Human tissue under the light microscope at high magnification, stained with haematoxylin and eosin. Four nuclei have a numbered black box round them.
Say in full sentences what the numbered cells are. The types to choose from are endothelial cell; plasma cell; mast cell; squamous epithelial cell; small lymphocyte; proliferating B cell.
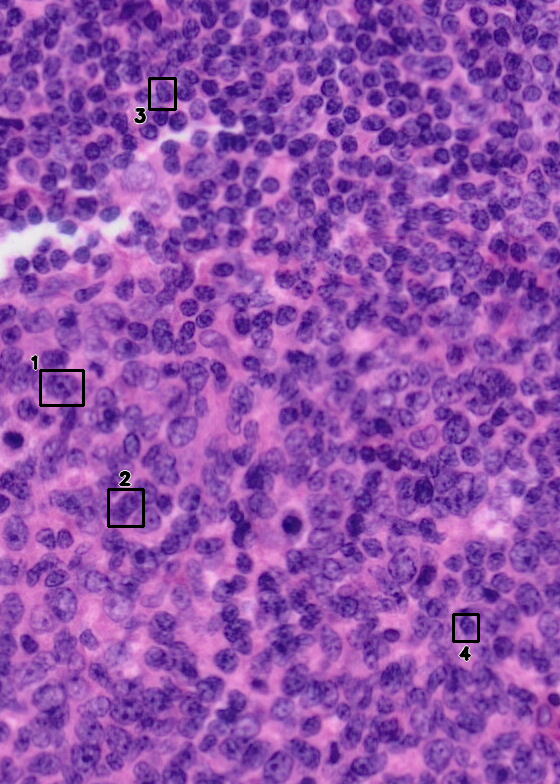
Cell 1 is a proliferating B cell, cell 2 is a proliferating B cell, cell 3 is a small lymphocyte and cell 4 is a proliferating B cell.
